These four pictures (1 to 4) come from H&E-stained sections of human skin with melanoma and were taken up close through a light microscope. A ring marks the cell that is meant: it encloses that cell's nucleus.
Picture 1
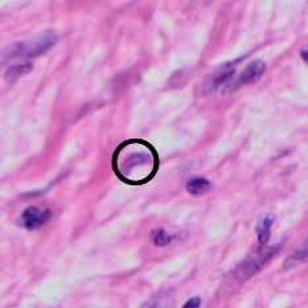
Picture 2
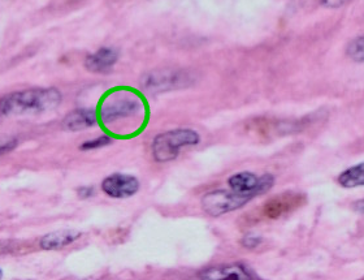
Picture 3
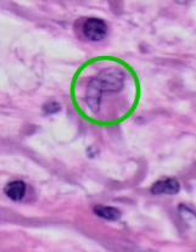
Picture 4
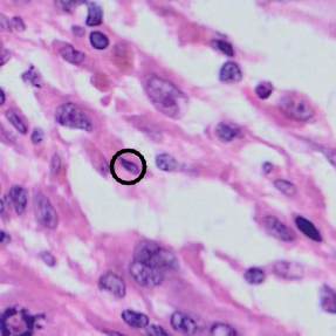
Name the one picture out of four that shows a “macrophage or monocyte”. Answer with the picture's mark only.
4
